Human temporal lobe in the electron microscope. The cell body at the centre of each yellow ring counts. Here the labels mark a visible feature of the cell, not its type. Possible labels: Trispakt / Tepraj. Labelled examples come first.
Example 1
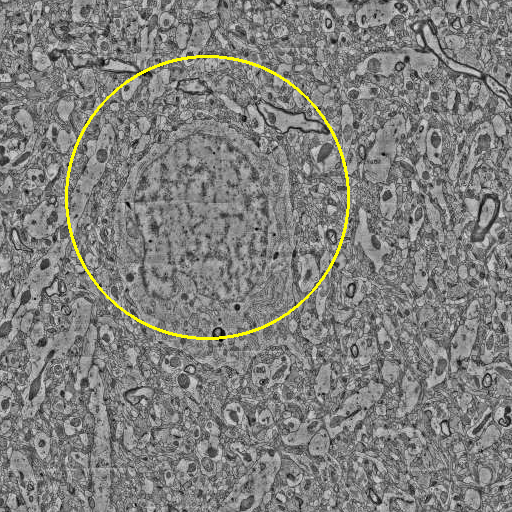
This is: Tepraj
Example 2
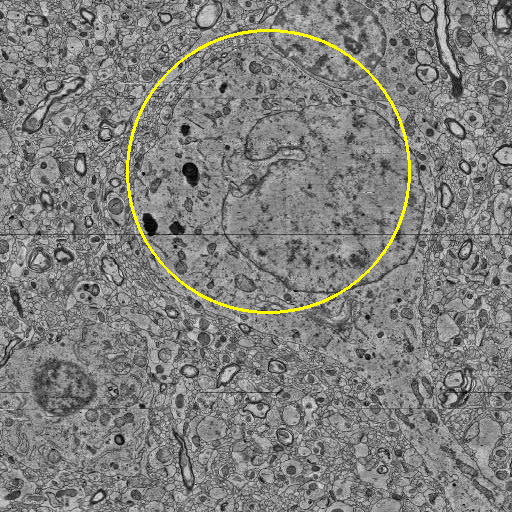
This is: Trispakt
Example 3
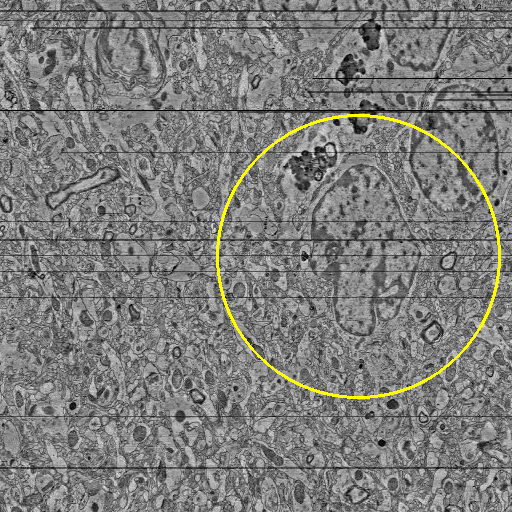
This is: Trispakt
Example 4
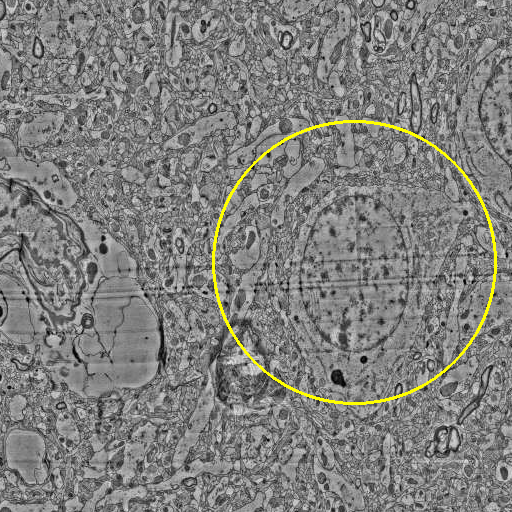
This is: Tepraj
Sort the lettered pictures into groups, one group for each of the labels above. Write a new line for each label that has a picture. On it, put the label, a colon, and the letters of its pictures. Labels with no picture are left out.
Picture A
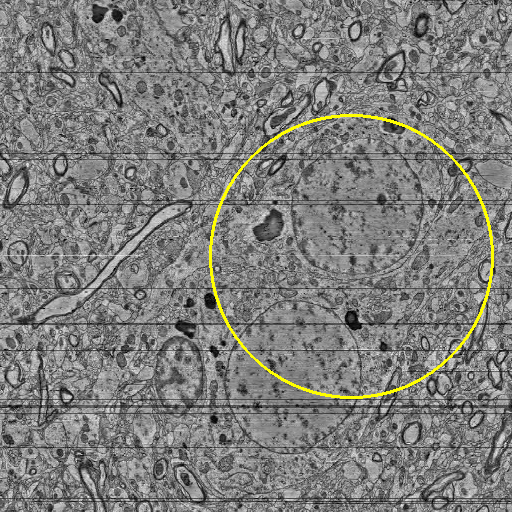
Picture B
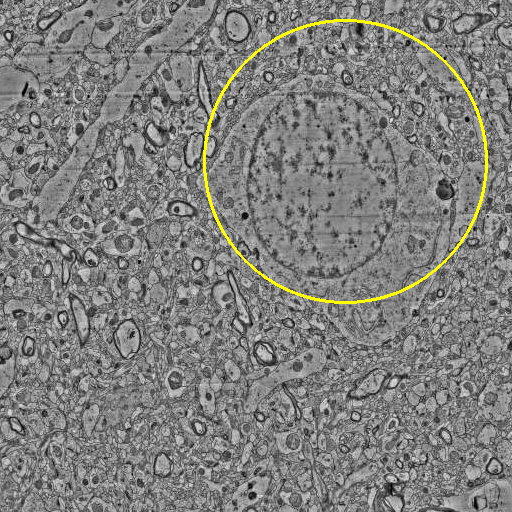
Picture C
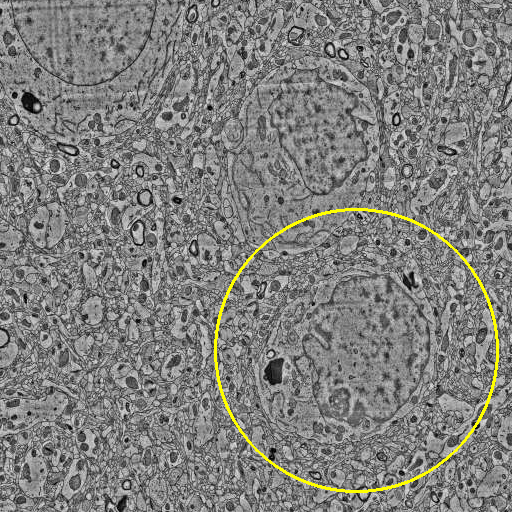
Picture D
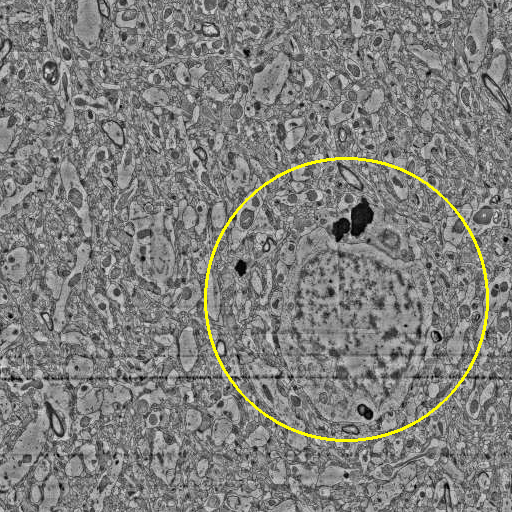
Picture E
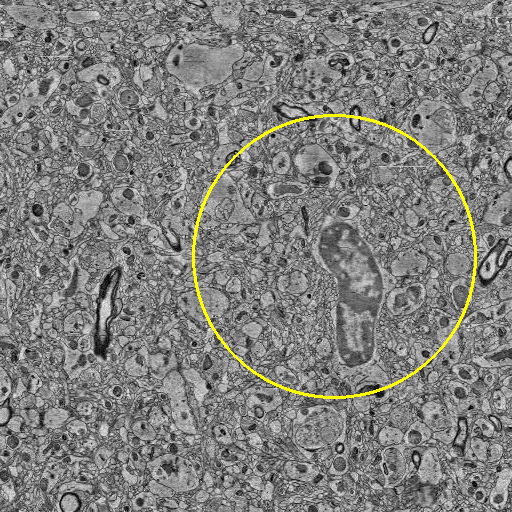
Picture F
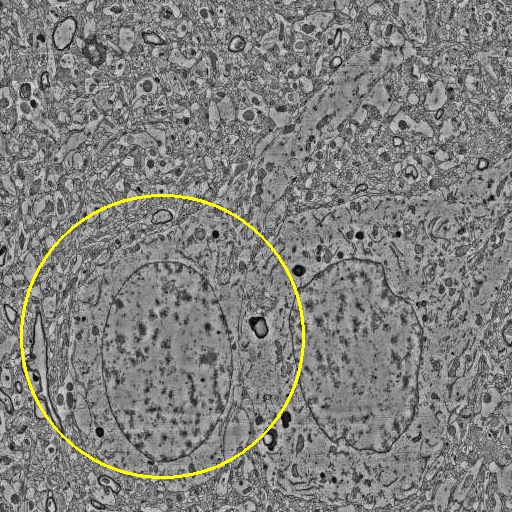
Trispakt: C
Tepraj: A, B, D, E, F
